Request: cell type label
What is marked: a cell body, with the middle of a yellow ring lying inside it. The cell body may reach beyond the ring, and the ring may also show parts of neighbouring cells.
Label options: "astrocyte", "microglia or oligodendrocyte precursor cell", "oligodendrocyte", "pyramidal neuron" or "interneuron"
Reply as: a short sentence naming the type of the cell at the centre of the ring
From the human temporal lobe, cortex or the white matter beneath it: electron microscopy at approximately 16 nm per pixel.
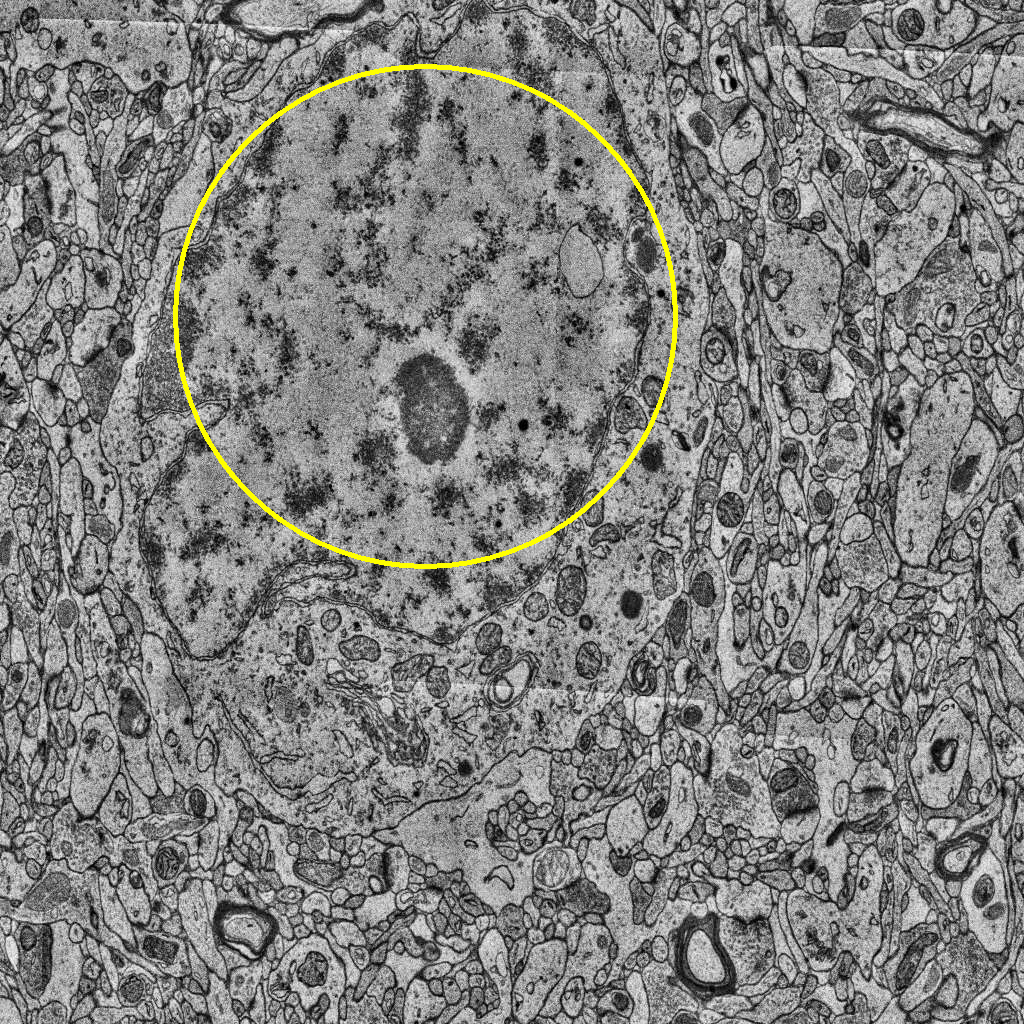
The marked cell body is that of an interneuron.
